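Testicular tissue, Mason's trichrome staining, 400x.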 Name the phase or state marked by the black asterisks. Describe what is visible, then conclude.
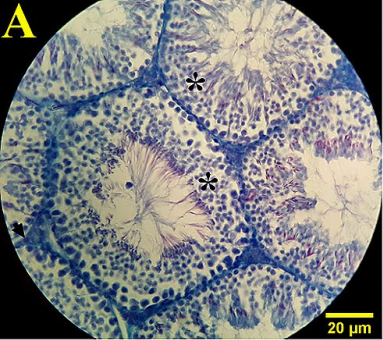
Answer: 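Spermatogenesis. The asterisks lie in a thick, many-layered epithelium of a tubule. Round cells at the base give way to elongated cells toward the lumen. Pale fibrous tails fill the tubule lumen.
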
